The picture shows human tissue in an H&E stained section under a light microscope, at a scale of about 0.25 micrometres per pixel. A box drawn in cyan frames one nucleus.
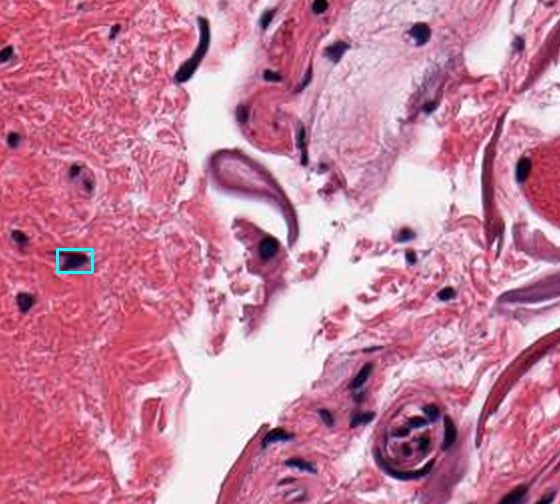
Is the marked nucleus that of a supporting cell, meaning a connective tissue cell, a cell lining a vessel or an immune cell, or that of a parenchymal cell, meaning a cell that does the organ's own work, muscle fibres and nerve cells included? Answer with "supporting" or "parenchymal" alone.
supporting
